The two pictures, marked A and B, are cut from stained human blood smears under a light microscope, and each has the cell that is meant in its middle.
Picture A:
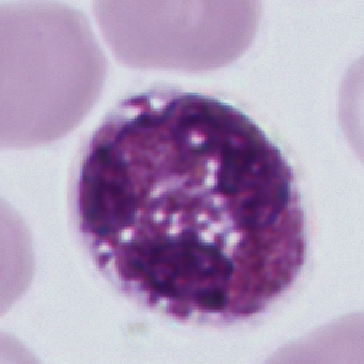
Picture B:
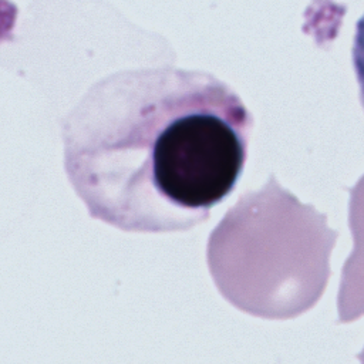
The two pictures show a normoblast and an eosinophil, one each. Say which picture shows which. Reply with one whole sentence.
Picture A shows an eosinophil and picture B shows a normoblast.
